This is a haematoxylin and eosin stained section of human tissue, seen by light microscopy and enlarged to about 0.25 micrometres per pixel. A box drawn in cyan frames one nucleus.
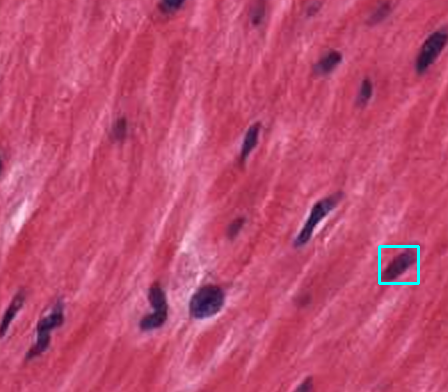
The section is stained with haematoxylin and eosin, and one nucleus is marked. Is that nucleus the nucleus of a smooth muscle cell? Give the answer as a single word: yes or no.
yes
